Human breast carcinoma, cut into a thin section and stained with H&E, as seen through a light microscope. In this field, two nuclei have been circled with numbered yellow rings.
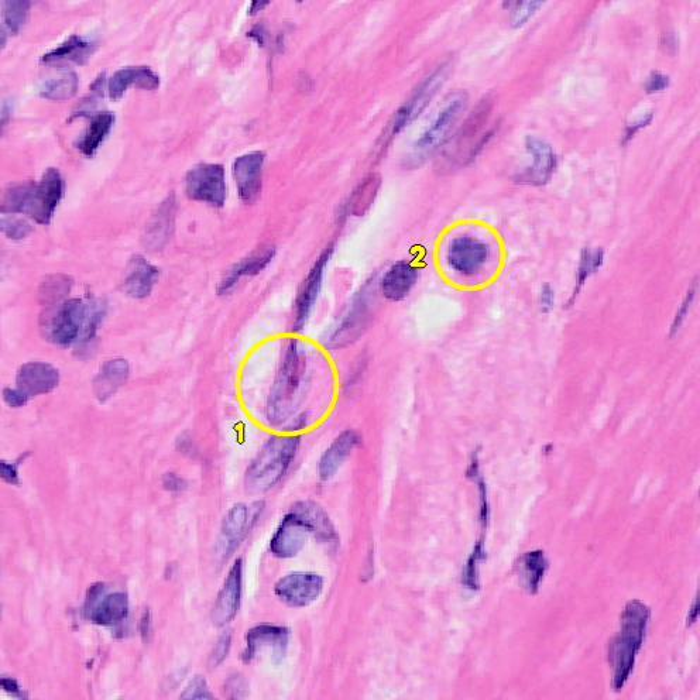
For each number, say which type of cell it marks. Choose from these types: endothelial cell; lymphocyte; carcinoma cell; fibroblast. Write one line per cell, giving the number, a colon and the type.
1: endothelial cell
2: lymphocyte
